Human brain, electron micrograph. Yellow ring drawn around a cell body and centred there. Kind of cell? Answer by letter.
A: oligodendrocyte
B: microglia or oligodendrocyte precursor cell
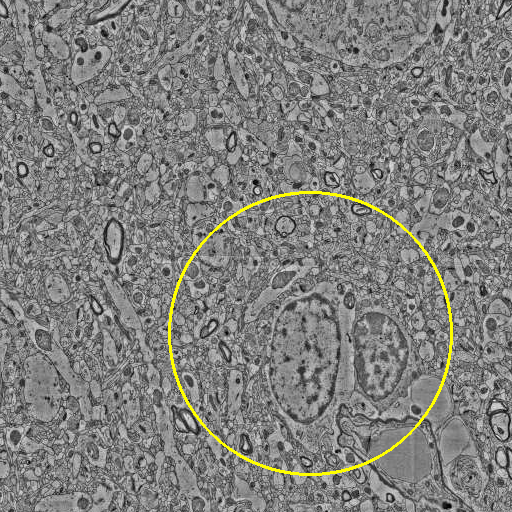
B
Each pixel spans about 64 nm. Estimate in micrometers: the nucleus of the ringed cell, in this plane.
About 8 by 5 micrometres, the nucleus being clearly longer than it is wide in this plane.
